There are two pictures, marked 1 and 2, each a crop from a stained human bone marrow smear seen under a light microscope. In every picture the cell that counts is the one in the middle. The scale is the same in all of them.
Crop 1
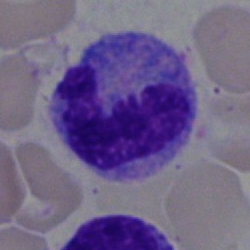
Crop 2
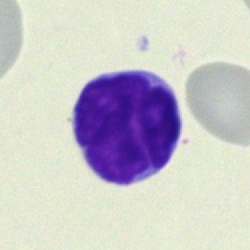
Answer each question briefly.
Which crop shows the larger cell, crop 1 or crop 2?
1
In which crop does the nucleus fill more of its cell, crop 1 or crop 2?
2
